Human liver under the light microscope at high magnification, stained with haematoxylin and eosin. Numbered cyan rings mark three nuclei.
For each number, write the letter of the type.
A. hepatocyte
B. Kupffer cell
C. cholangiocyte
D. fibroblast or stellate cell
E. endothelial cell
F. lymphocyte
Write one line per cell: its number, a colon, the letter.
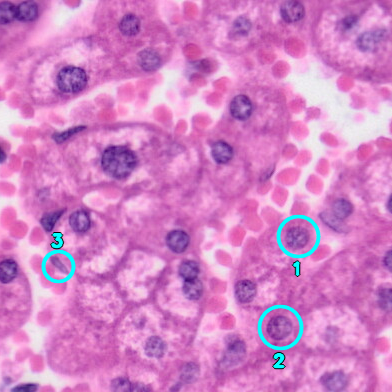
1: A
2: A
3: E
